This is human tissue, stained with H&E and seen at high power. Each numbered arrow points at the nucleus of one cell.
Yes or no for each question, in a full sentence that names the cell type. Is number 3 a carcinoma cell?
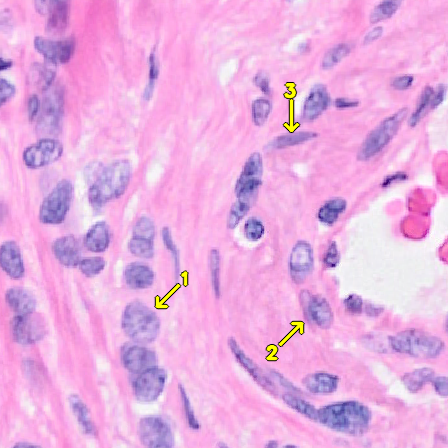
No, cell 3 counts as an endothelial cell rather than as a carcinoma cell.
